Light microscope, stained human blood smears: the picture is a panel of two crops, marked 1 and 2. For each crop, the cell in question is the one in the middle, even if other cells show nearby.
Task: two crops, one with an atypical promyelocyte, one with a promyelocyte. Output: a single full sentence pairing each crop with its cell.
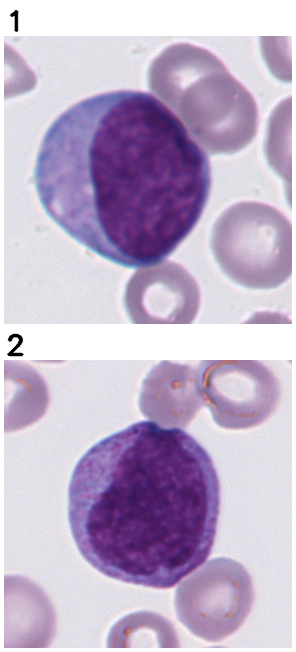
The cell centred in crop 1 is a promyelocyte, and the one centred in crop 2 is an atypical promyelocyte.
